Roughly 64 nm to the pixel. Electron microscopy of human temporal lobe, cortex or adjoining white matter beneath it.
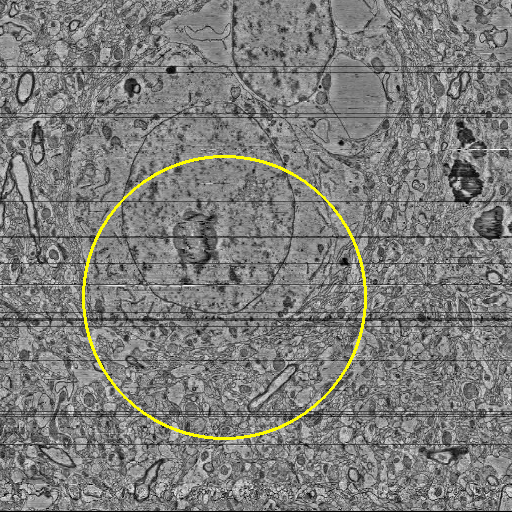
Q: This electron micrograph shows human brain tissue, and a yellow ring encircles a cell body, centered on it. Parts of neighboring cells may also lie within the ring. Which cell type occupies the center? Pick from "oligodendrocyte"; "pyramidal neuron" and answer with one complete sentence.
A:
What sits at the ring's center in this micrograph is a pyramidal neuron, among those choices.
